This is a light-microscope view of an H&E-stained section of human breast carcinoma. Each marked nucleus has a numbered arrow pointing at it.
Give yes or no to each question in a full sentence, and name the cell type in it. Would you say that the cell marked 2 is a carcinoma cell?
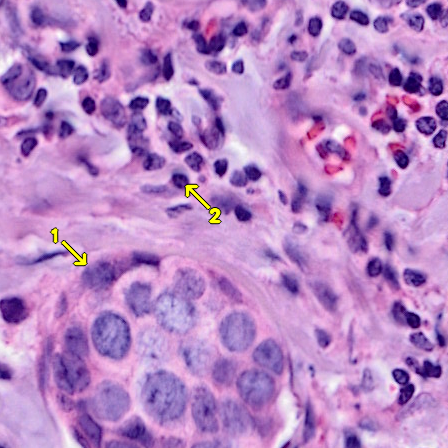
No, calling cell 2 a carcinoma cell is a mistake; it is a lymphocyte.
